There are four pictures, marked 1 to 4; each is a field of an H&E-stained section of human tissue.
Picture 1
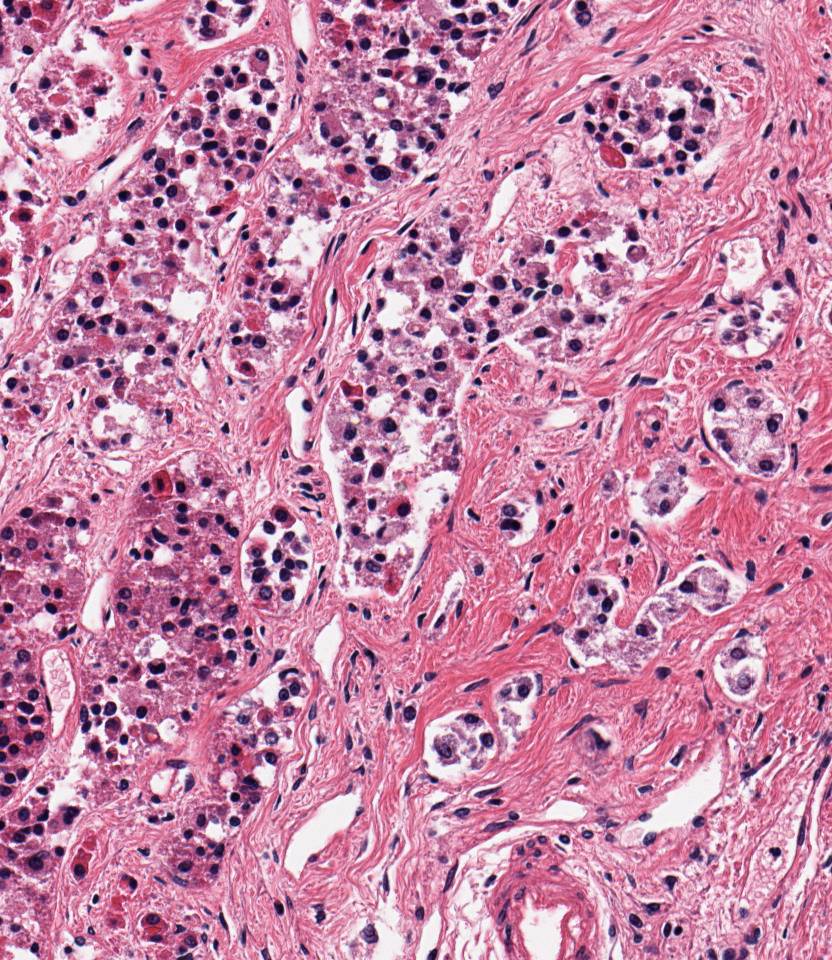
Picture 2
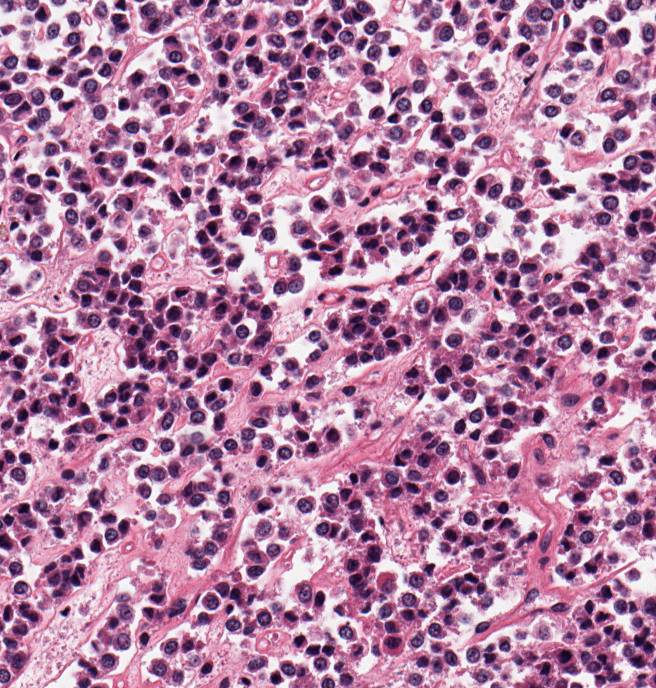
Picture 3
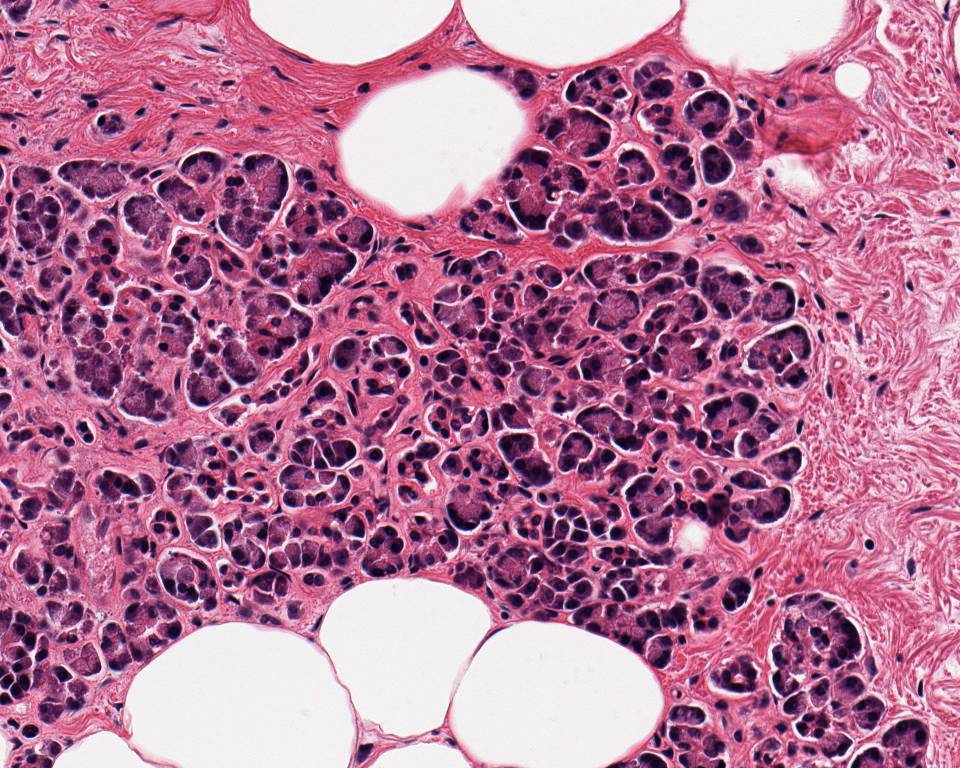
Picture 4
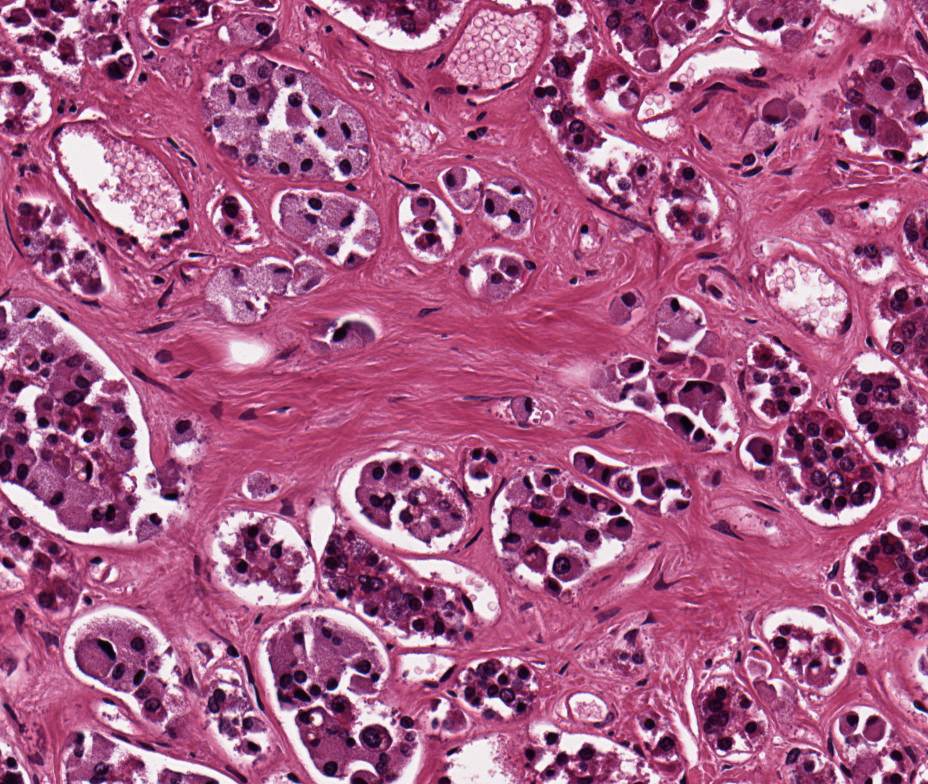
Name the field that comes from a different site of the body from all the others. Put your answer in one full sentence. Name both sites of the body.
Picture 3 is the odd one out: it comes from the pancreas, while the others come from the pituitary.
